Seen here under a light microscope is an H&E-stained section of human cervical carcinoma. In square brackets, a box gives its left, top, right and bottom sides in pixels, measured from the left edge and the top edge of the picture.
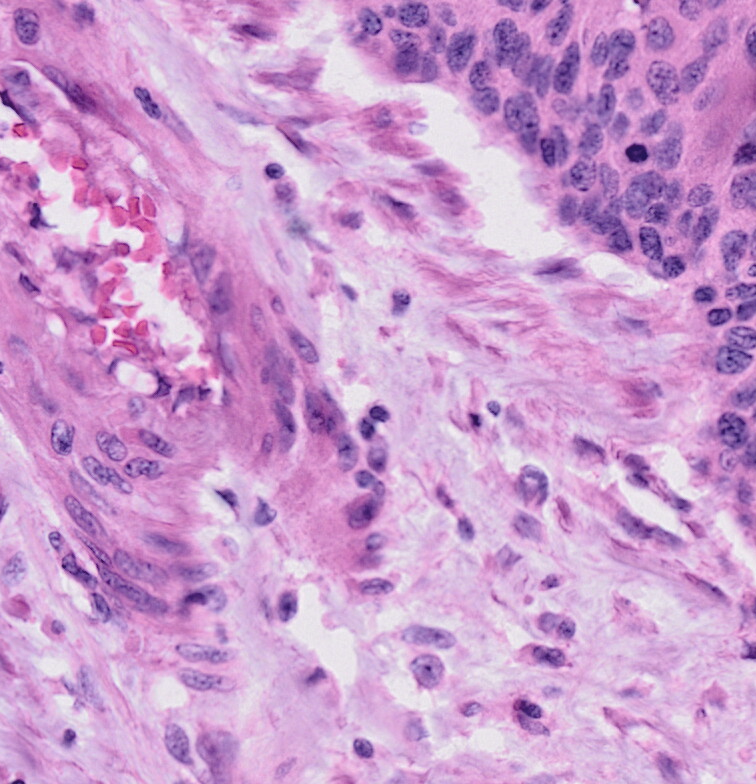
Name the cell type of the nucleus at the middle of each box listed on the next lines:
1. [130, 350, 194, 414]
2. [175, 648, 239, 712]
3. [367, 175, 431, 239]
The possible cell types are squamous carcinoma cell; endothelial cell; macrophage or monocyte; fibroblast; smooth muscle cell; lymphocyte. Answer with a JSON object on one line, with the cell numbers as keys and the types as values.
{"1": "endothelial cell", "2": "smooth muscle cell", "3": "fibroblast"}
